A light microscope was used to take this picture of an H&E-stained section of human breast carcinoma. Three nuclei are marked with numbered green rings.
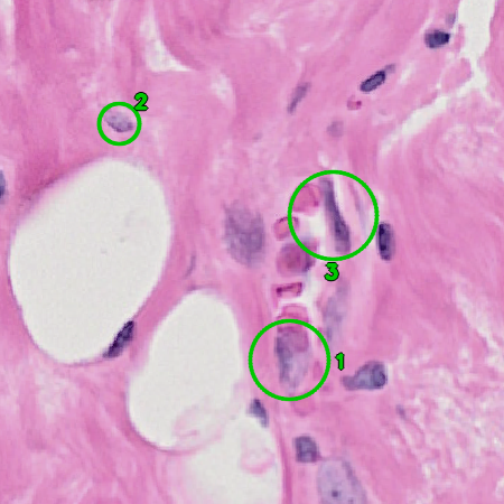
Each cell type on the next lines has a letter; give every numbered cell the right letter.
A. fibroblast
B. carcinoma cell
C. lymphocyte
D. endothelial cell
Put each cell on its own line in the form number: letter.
1: D
2: A
3: D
